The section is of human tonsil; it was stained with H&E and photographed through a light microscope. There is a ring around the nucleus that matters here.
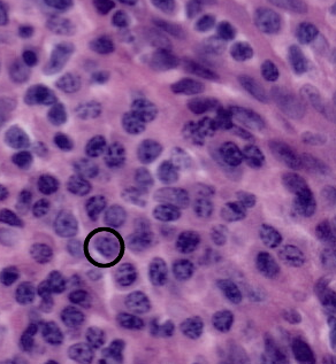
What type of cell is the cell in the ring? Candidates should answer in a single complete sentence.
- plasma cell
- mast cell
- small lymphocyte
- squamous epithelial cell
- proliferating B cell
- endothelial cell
For the purposes of cell typing, the cell in the ring is categorized as a plasma cell.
